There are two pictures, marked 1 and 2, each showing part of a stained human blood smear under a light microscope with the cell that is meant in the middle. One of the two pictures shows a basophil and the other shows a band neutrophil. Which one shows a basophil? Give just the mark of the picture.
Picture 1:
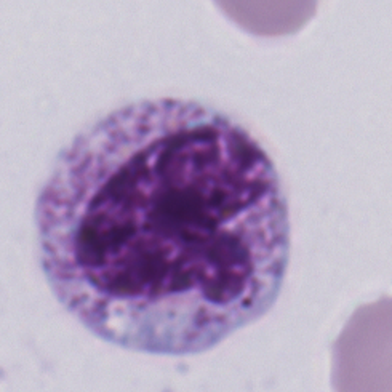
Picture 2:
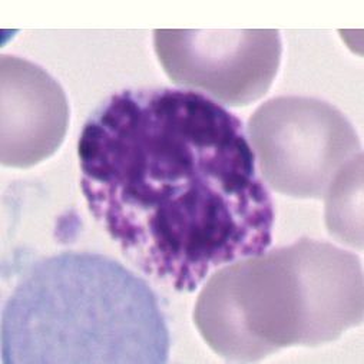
2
